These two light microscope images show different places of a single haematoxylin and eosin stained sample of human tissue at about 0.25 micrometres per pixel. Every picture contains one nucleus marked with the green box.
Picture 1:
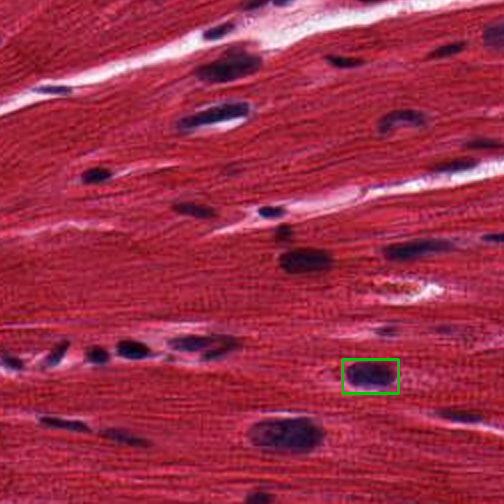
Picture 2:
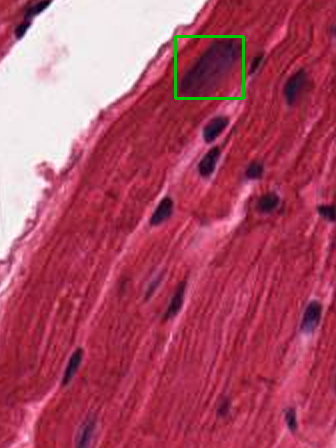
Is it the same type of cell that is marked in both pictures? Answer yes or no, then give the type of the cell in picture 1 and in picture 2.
Yes, both are cardiomyocytes.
